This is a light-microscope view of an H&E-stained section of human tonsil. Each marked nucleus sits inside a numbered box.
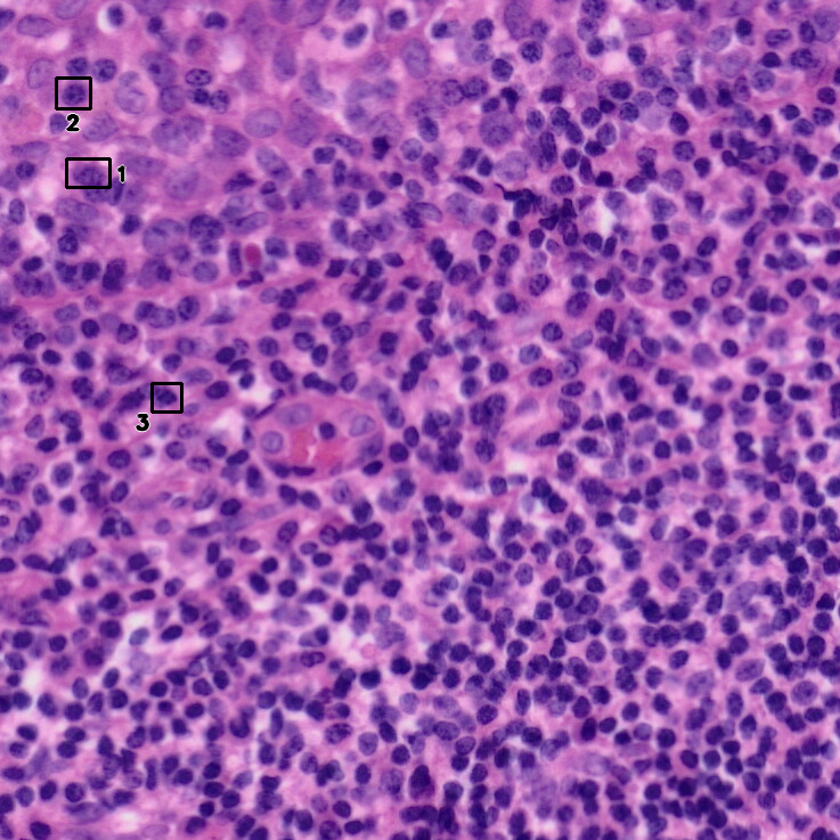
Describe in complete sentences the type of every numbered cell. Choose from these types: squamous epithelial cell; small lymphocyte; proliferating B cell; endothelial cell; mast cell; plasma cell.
Cell 1 is a squamous epithelial cell. Cells 2 and 3 are plasma cells.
